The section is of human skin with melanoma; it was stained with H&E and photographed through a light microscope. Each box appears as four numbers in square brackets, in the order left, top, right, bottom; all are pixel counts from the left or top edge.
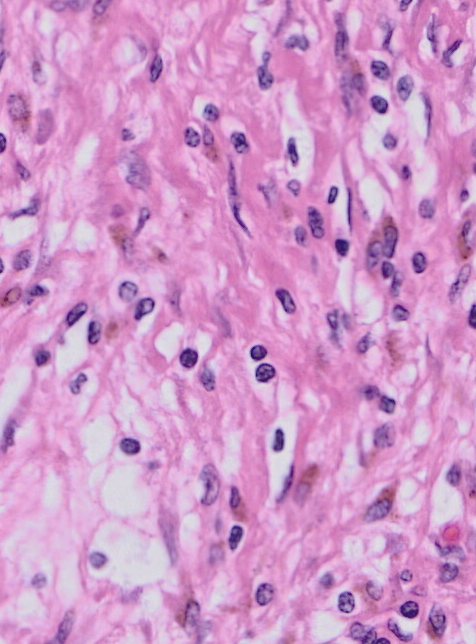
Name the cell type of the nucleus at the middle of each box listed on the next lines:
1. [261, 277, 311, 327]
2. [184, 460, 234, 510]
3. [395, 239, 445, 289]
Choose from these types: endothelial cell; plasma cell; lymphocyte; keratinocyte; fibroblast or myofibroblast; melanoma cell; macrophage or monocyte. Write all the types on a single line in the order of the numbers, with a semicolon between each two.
lymphocyte; fibroblast or myofibroblast; lymphocyte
